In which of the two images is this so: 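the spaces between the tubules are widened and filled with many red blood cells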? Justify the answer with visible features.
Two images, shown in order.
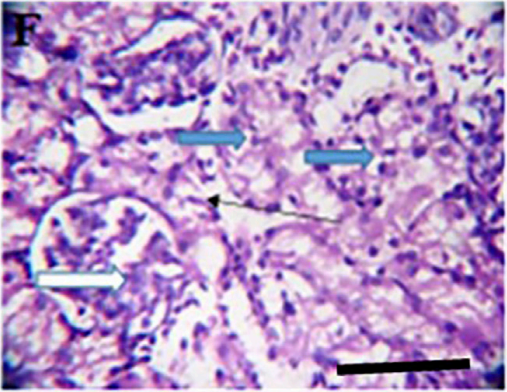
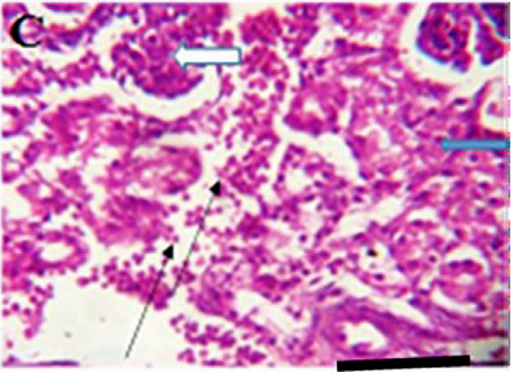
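The second image. First image: tubules lie close together with narrow spaces holding only a few nuclei. Second image: broad spaces between tubules are crowded with small round red bodies.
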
